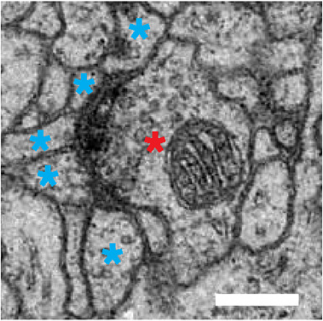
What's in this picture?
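Electron micrograph of densely packed neural processes showing a synapse. A central process contains many small round vesicles and a large mitochondrion with tightly stacked cristae, and it meets a dark electron-dense thickening at its membrane. The surrounding neuropil consists of tightly apposed profiles of varied size outlined by dark membranes.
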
